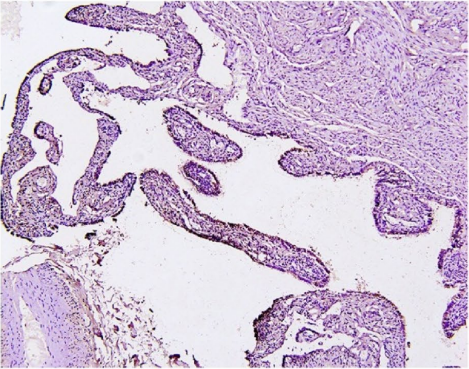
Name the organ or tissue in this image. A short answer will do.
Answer: Uterine tube epithelial tissues.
